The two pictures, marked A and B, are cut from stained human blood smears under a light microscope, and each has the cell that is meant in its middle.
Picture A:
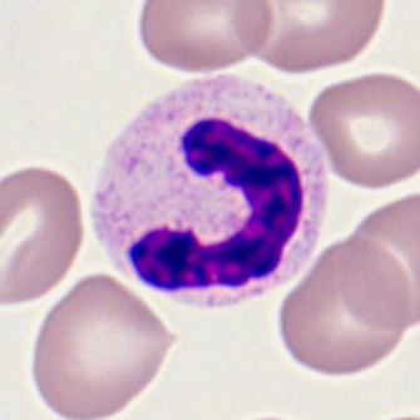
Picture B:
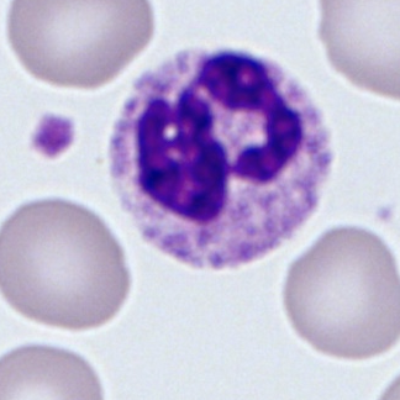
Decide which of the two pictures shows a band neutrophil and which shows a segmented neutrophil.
A: band neutrophil
B: segmented neutrophil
